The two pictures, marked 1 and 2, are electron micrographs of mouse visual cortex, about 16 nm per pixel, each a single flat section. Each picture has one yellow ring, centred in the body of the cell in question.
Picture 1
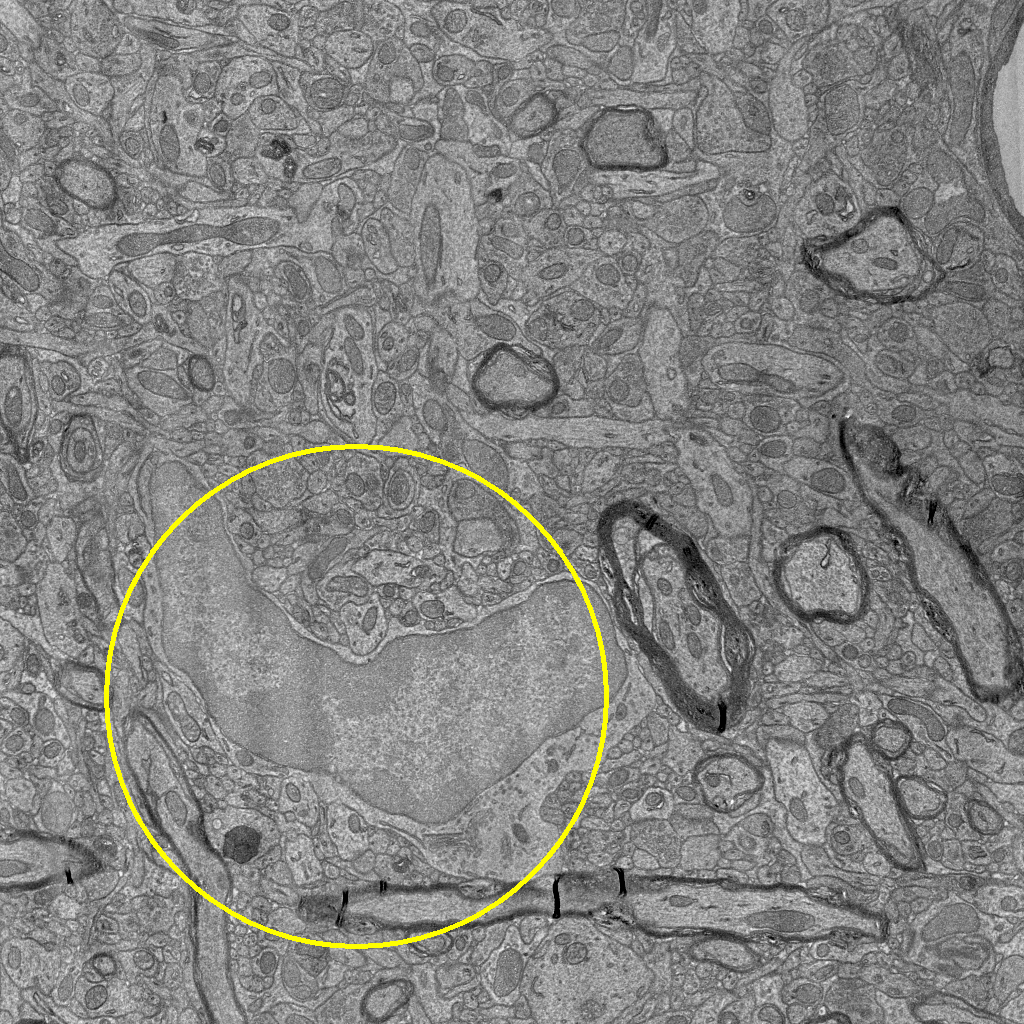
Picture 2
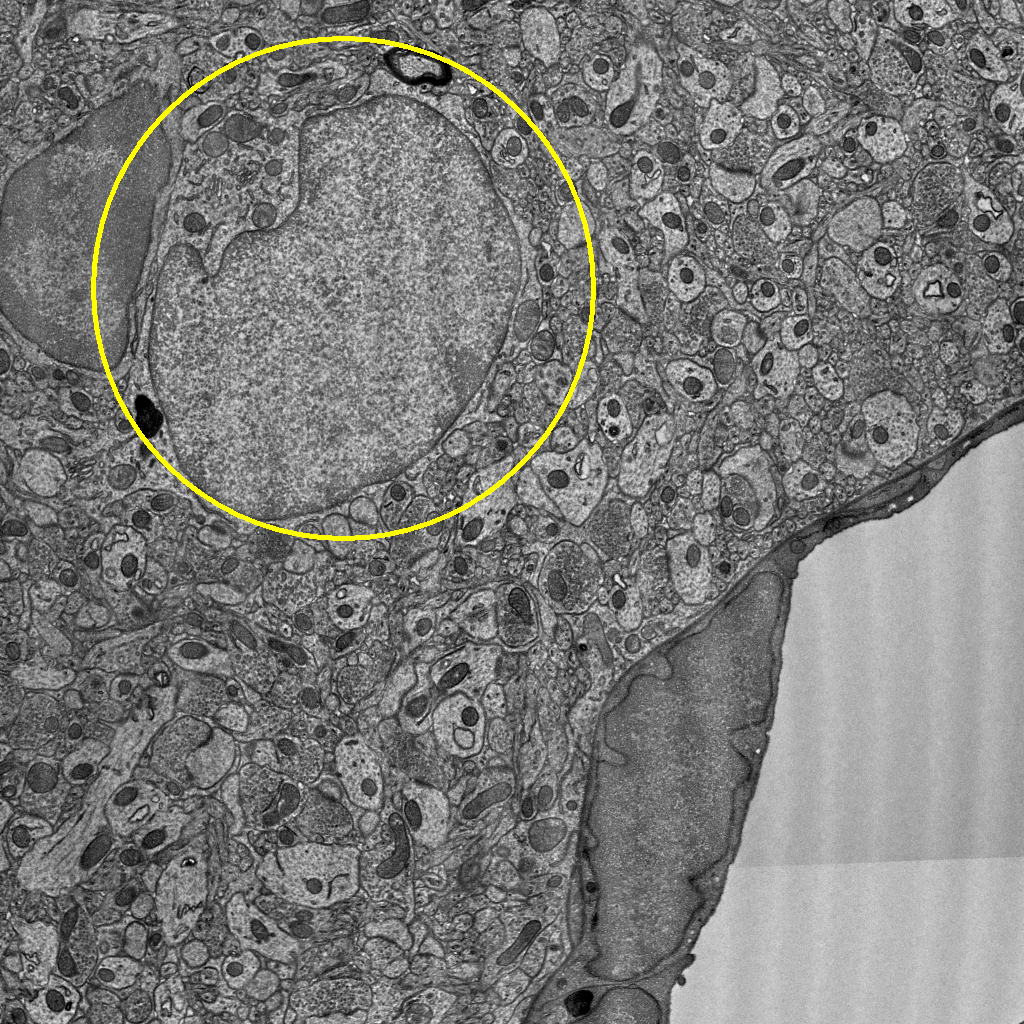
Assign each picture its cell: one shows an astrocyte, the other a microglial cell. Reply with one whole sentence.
The cell in picture 1 is a microglial cell, and the one in picture 2 is an astrocyte.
